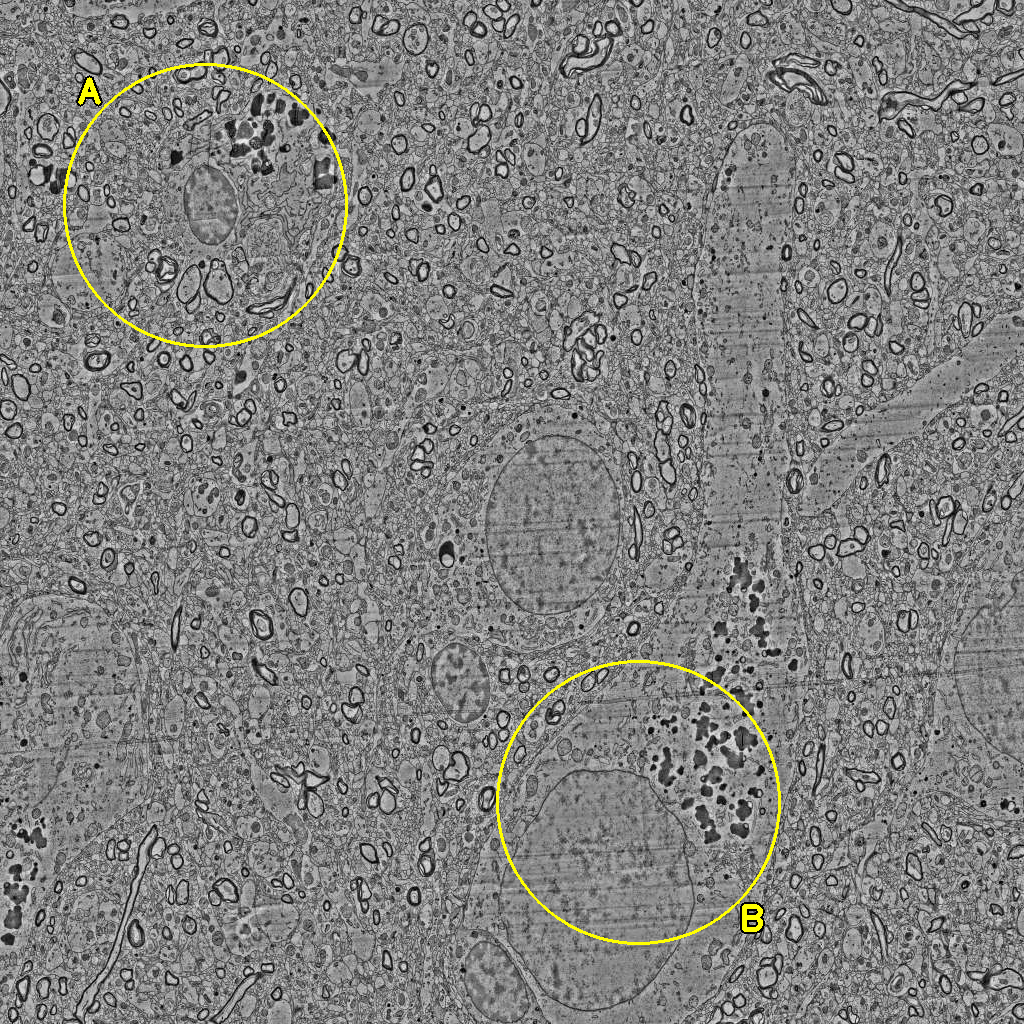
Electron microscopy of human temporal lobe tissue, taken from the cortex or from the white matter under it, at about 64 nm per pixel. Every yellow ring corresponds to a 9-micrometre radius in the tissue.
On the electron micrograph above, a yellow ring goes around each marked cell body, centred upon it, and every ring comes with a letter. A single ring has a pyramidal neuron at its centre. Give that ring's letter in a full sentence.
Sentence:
The ring holding the cell asked for at its centre bears the letter B.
